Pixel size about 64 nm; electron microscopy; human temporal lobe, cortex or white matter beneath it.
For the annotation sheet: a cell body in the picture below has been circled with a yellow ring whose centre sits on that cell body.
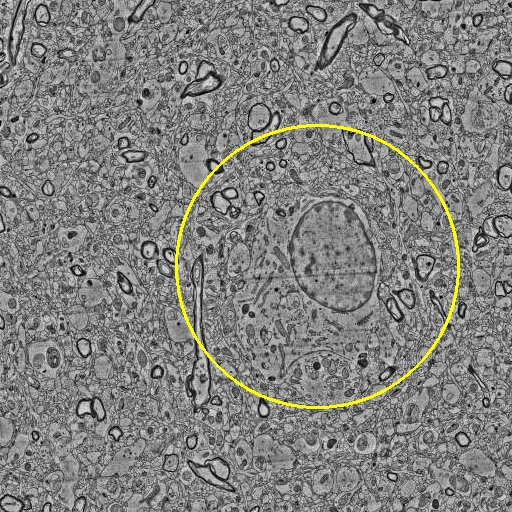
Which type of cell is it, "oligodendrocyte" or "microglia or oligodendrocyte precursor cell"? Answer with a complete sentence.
The circled cell is a microglial cell or oligodendrocyte precursor cell.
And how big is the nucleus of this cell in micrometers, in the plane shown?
Approximately 7 micrometres long and 5 micrometres wide, in this plane.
